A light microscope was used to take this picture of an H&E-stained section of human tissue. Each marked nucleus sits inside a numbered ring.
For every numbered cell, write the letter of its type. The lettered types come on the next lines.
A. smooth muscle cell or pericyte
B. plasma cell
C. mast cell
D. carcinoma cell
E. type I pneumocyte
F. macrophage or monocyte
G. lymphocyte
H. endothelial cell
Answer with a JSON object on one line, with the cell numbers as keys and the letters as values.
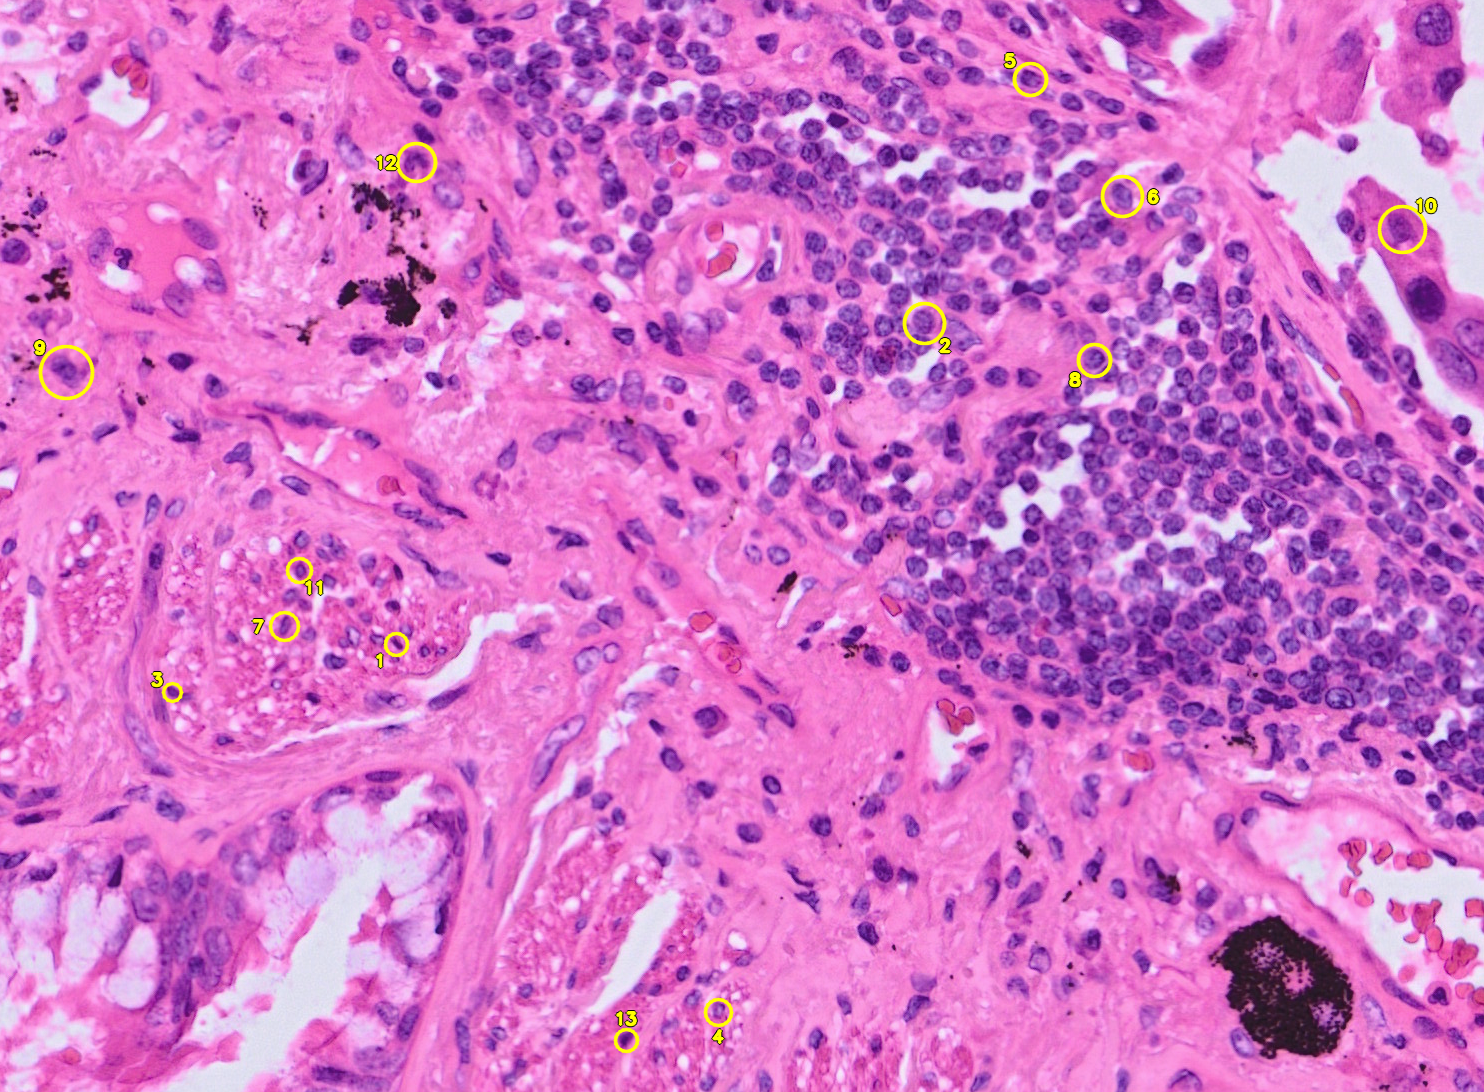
{"1": "A", "2": "G", "3": "A", "4": "A", "5": "G", "6": "G", "7": "A", "8": "G", "9": "B", "10": "D", "11": "A", "12": "B", "13": "A"}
